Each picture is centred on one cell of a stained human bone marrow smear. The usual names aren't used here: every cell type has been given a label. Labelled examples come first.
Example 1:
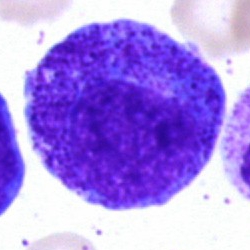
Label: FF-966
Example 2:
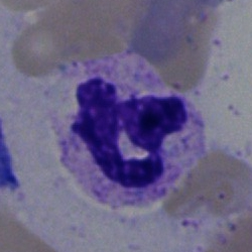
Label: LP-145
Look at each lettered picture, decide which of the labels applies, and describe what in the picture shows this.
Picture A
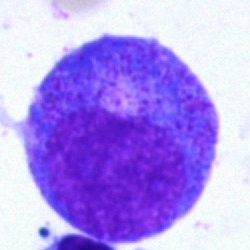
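FF-966. Evidence: The chromatin is finely granular rather than coarsely clumped.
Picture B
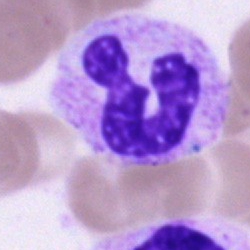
LP-145. Evidence: The chromatin is dark purple and coarsely clumped.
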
